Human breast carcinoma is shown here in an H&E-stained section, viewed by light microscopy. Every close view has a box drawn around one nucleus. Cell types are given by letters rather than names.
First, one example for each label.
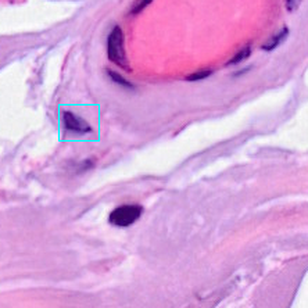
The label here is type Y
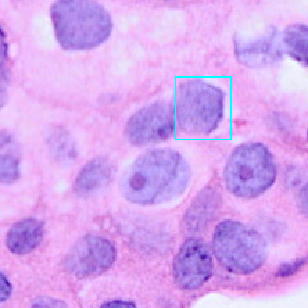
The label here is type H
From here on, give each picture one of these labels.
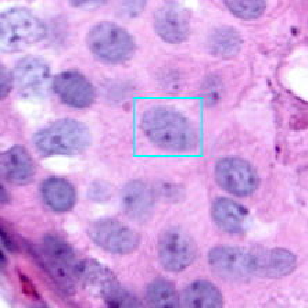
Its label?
type H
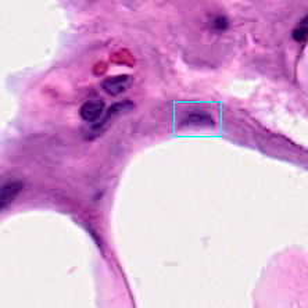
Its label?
type Y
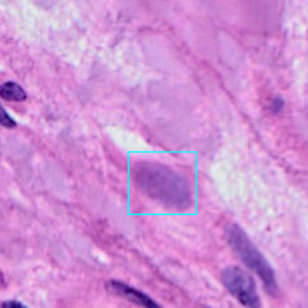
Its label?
type Y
